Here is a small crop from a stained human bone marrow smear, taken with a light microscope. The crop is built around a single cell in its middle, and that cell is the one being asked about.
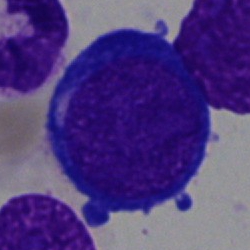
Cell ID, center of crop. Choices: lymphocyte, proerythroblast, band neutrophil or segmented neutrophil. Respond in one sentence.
Present in the middle of the crop is a proerythroblast.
